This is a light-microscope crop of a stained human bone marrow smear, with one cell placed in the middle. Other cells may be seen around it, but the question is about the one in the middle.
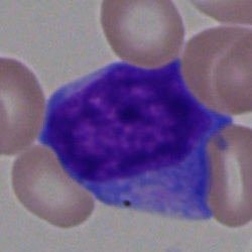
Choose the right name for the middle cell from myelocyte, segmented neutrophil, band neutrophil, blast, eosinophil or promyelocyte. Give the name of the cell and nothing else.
blast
